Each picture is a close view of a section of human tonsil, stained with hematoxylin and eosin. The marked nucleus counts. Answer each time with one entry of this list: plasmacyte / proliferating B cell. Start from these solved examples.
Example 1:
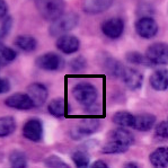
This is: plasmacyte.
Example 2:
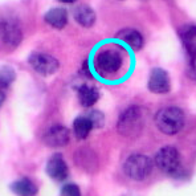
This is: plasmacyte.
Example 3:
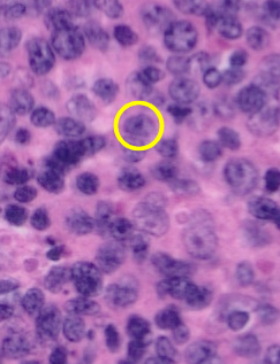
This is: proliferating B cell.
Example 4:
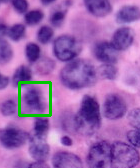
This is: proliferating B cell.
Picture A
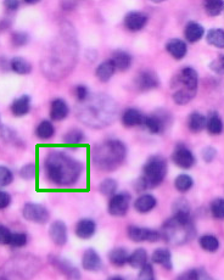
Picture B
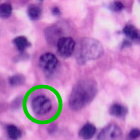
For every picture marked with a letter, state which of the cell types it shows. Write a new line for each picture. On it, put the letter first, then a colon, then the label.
A: proliferating B cell.
B: plasmacyte.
